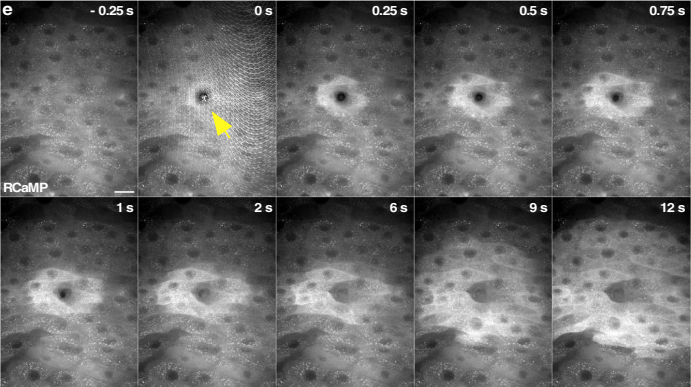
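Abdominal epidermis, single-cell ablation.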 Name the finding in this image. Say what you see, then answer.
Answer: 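Calcium wave. Brightness rises first in a ring around the marked spot. The bright zone widens outward over successive frames.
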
